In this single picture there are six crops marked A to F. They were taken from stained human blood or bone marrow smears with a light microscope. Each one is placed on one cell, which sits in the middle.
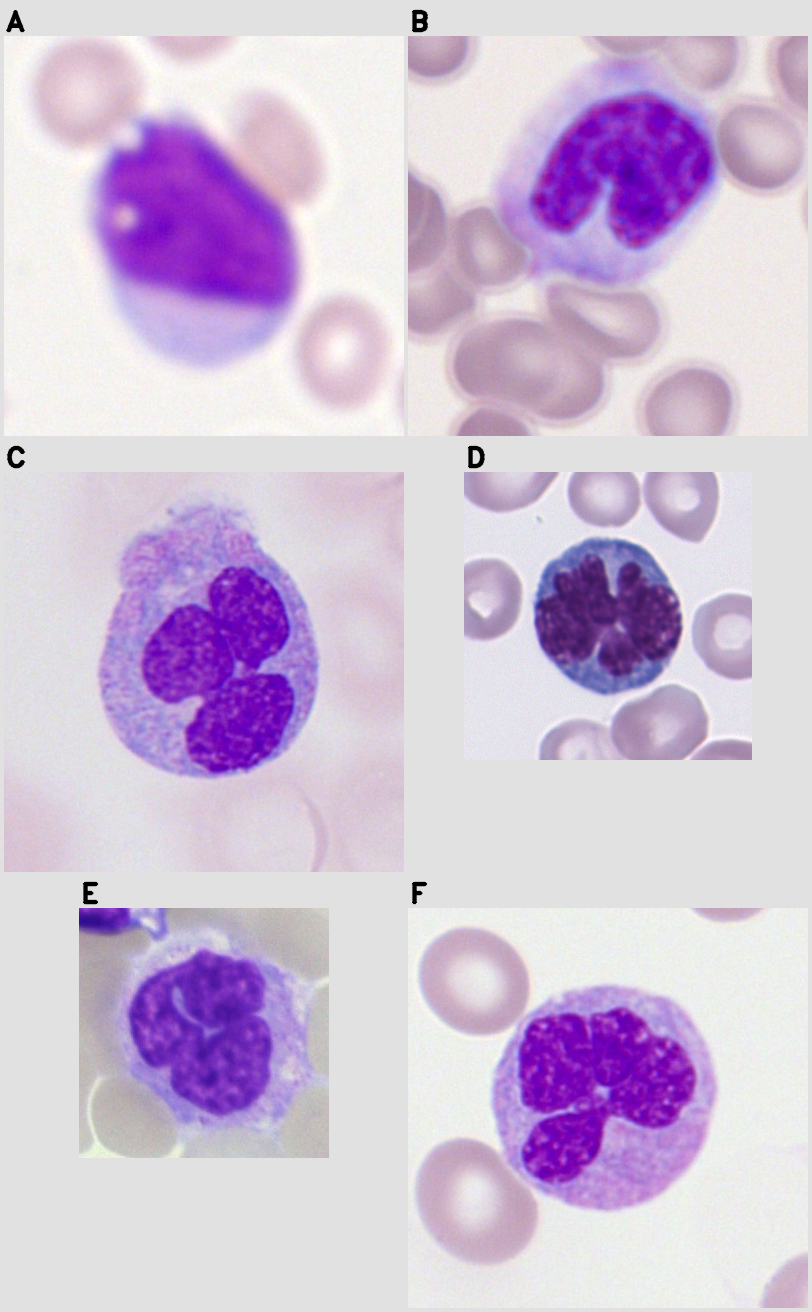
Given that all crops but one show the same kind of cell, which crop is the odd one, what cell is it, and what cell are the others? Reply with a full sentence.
All crops show monocytes except crop A, which is a blast.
